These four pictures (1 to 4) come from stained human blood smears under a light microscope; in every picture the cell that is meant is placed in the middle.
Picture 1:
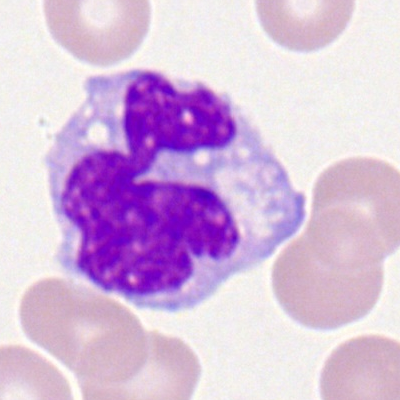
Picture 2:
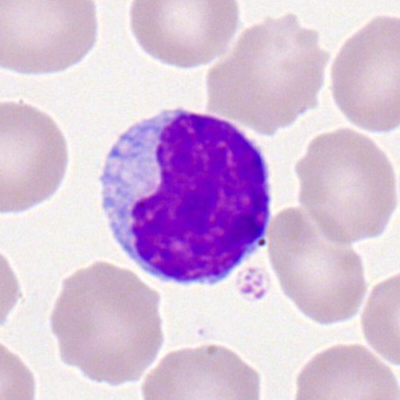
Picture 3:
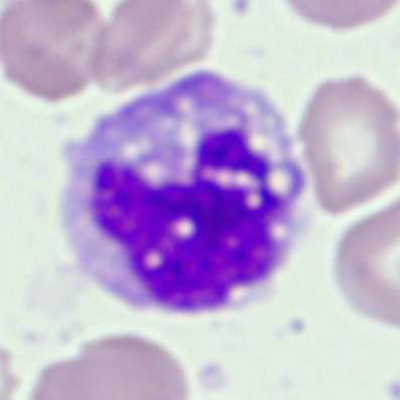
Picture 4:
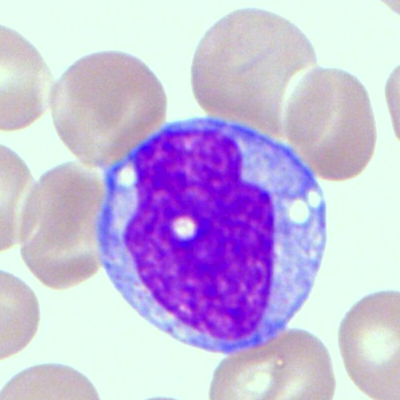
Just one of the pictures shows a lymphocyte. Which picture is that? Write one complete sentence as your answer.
The picture with the lymphocyte is 2.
